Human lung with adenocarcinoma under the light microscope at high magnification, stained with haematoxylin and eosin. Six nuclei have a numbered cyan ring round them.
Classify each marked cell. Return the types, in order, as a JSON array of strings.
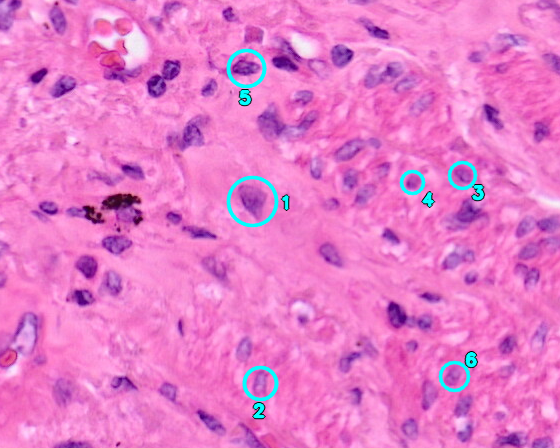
["fibroblast", "smooth muscle cell or pericyte", "smooth muscle cell or pericyte", "smooth muscle cell or pericyte", "plasma cell", "smooth muscle cell or pericyte"]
